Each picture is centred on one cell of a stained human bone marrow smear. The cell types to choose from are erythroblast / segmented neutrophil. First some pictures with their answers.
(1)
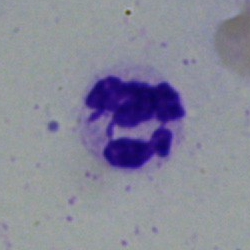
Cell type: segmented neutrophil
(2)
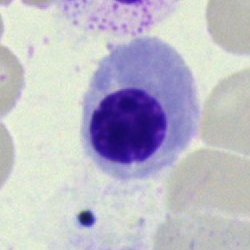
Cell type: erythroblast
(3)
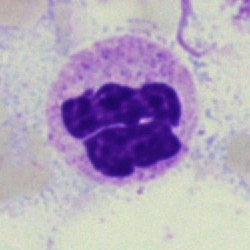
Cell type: segmented neutrophil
